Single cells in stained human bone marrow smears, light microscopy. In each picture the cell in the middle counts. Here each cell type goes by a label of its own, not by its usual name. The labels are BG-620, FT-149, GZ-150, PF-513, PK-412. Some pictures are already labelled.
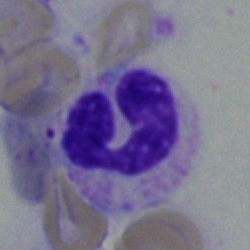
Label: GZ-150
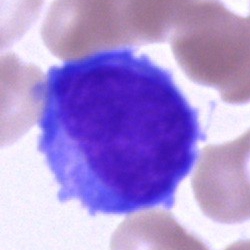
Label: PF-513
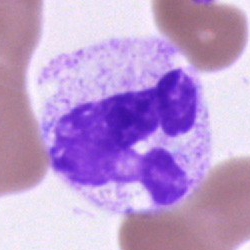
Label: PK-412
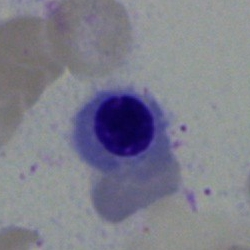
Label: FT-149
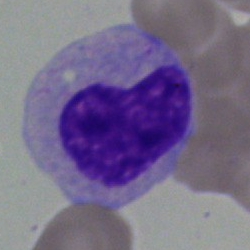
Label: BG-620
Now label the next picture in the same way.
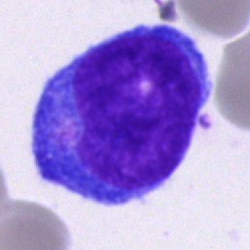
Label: PF-513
